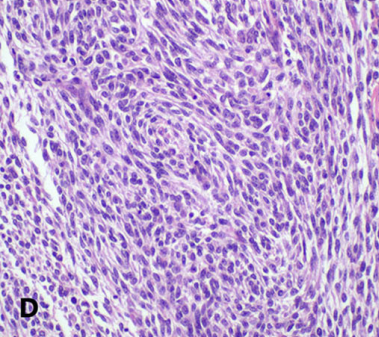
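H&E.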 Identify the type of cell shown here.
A: spindle cell-like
